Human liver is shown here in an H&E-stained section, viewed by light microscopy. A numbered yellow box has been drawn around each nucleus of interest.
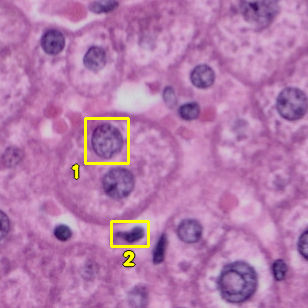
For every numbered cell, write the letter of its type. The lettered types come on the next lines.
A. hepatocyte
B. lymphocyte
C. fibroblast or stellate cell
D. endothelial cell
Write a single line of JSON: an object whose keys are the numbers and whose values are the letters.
{"1": "A", "2": "B"}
